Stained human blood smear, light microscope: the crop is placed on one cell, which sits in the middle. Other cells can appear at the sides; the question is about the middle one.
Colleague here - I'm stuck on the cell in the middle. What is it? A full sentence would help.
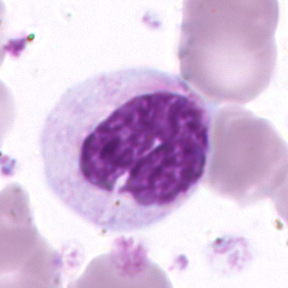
Regarding the central cell, it is a band neutrophil.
